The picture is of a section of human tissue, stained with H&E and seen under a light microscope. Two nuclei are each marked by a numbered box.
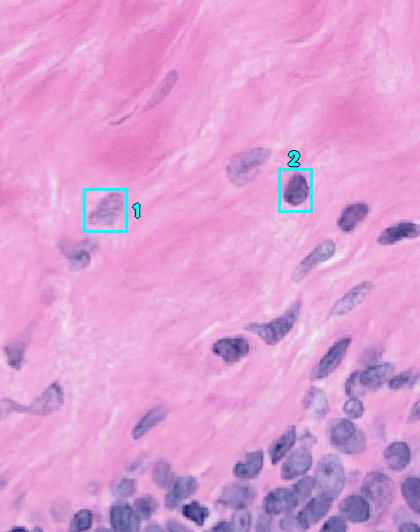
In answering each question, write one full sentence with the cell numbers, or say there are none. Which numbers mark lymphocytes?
The numbered cells include exactly one that is a lymphocyte, which is cell 2.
